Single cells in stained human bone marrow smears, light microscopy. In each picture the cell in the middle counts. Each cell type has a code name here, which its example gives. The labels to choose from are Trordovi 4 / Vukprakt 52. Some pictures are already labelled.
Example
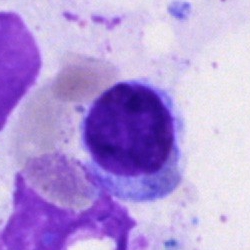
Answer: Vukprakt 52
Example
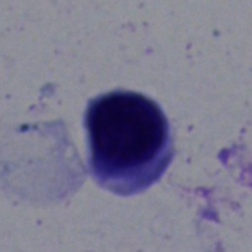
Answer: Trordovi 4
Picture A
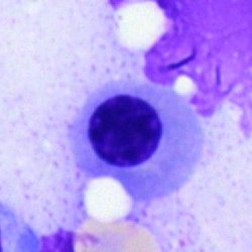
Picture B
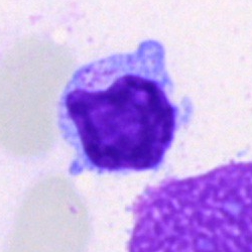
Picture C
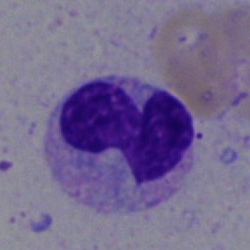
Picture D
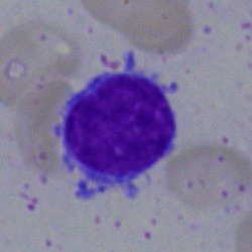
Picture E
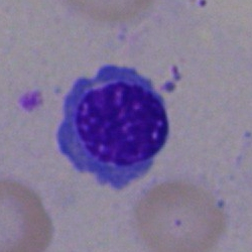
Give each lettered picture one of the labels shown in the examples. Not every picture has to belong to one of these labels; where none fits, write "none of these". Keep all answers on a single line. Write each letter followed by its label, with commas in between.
A Trordovi 4, B Vukprakt 52, C none of these, D Vukprakt 52, E Trordovi 4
